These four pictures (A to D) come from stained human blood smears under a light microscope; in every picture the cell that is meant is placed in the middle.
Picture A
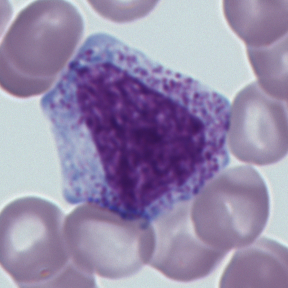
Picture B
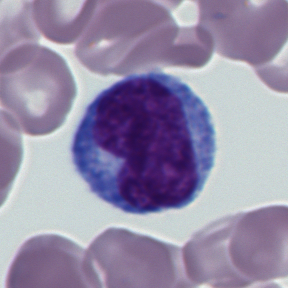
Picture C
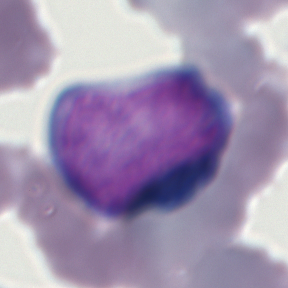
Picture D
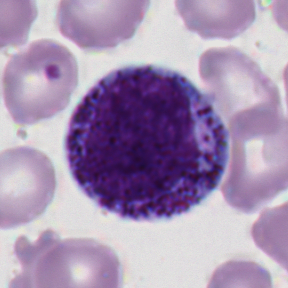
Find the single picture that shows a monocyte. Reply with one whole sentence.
Picture B shows the monocyte.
